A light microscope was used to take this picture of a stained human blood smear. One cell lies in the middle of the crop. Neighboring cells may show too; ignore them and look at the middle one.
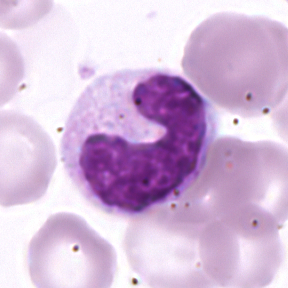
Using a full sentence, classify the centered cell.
Regarding the central cell, it is a band neutrophil.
